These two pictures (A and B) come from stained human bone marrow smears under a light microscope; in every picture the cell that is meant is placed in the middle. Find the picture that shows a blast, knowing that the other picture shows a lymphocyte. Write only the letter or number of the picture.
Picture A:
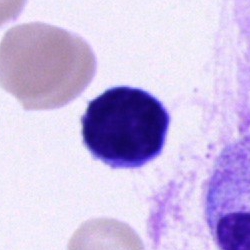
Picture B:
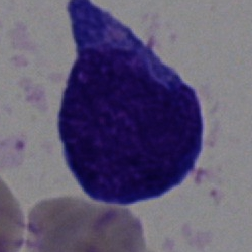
B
